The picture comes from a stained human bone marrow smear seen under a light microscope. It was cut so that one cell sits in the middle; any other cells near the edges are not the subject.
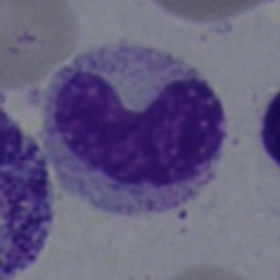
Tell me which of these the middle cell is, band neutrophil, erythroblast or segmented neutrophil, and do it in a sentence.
Occupying the centre of the crop is a band neutrophil.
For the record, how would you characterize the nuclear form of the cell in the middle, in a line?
The nuclear material is gathered into one compact round, oval or kidney-shaped mass.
